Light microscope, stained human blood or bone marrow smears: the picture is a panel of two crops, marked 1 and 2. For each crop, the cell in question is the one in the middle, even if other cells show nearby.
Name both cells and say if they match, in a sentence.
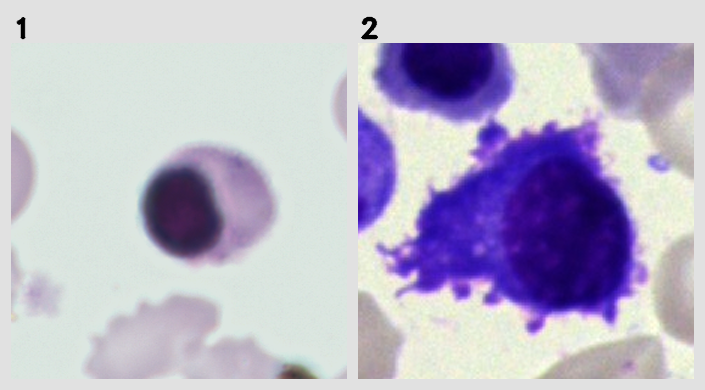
No, the cell at the middle of crop 1 is an erythroblast, while crop 2 centres on a plasma cell.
